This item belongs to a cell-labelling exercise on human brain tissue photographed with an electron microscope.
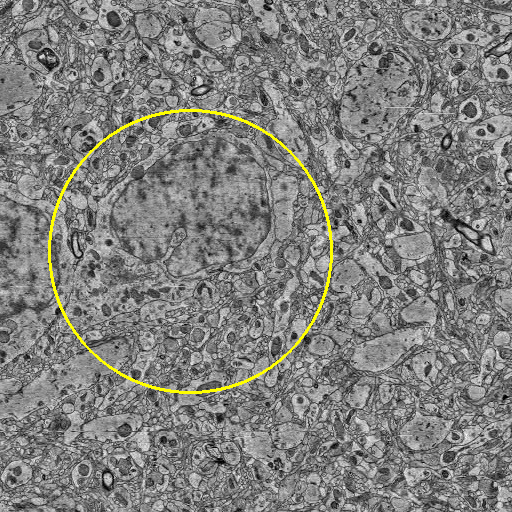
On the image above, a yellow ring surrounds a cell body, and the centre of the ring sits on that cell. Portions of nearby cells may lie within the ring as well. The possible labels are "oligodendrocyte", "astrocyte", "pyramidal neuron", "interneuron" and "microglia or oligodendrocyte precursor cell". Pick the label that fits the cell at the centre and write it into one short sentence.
This cell should be labelled as an interneuron.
